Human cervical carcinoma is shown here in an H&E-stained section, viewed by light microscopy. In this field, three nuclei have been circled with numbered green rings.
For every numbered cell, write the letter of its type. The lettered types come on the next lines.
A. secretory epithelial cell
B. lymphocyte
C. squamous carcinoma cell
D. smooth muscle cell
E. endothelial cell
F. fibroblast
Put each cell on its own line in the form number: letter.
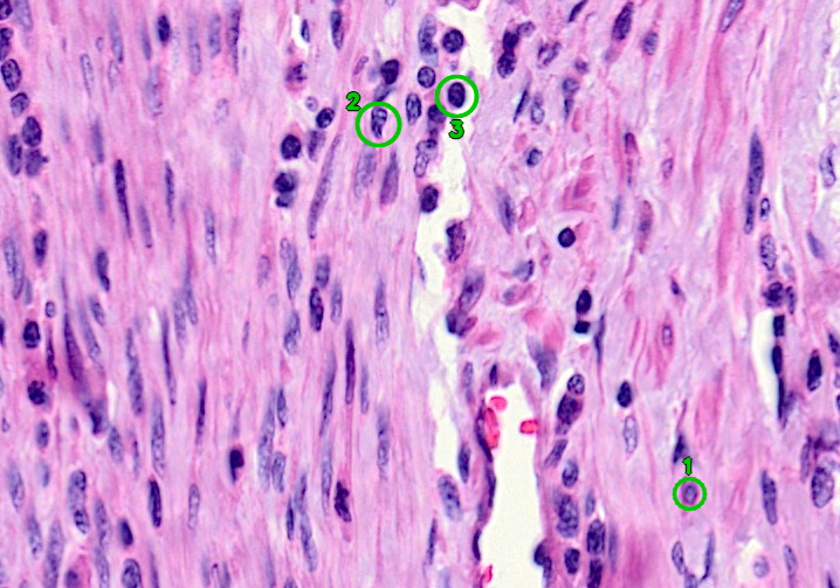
1: D
2: B
3: B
